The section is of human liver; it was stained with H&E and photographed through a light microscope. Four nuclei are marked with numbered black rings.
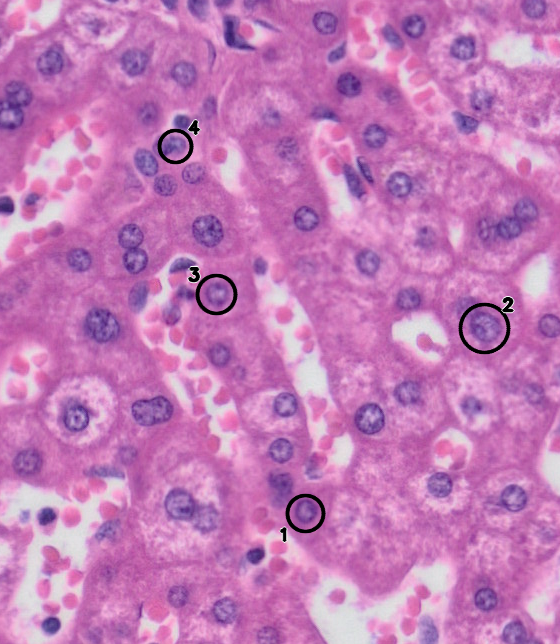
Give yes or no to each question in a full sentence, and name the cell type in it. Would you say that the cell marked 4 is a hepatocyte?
No, the identification of cell 4 as a hepatocyte is incorrect; it is a cholangiocyte.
